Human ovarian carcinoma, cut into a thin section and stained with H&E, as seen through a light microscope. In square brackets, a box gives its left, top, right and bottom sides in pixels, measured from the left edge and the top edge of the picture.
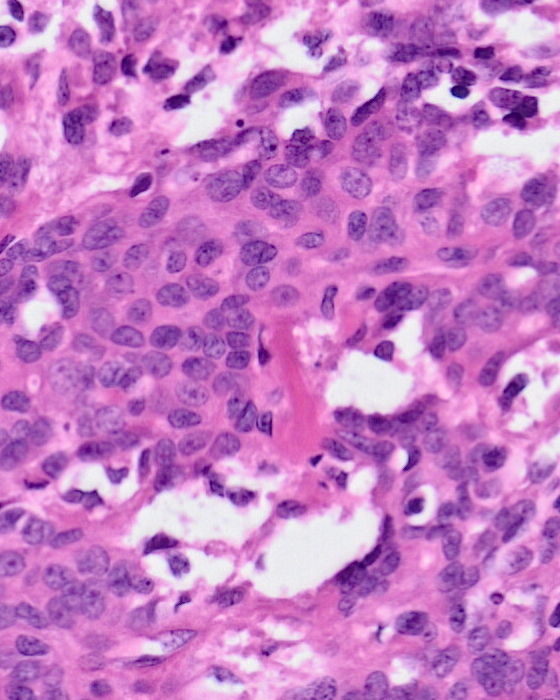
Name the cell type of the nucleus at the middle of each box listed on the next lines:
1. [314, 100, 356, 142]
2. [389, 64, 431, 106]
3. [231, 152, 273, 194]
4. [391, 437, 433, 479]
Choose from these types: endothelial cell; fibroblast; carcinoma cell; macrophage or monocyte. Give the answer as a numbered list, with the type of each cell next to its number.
1. carcinoma cell
2. macrophage or monocyte
3. carcinoma cell
4. carcinoma cell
